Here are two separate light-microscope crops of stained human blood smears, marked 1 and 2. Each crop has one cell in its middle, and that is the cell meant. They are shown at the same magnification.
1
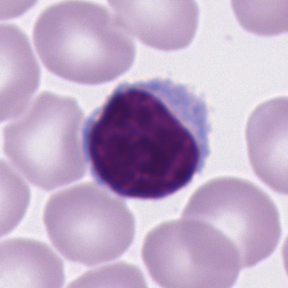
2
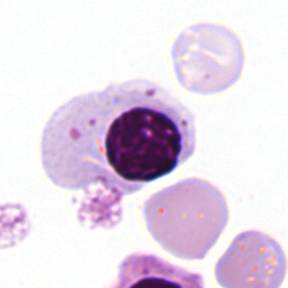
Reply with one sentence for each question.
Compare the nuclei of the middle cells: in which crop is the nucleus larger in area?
Picture 1 shows the larger nucleus; it covers about 2 times the area of the nucleus in picture 2.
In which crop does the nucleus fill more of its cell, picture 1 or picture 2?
In picture 1 the nucleus takes up the larger part of its cell.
